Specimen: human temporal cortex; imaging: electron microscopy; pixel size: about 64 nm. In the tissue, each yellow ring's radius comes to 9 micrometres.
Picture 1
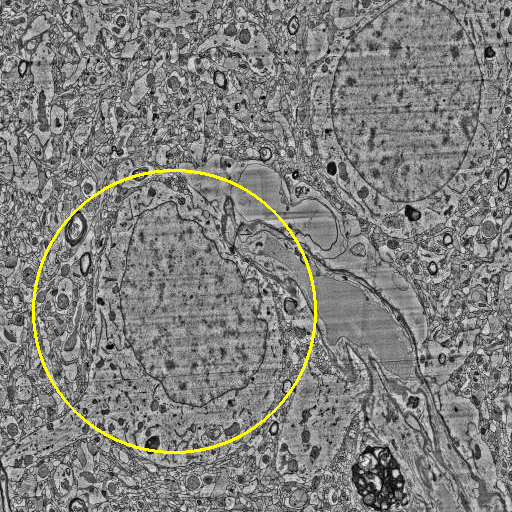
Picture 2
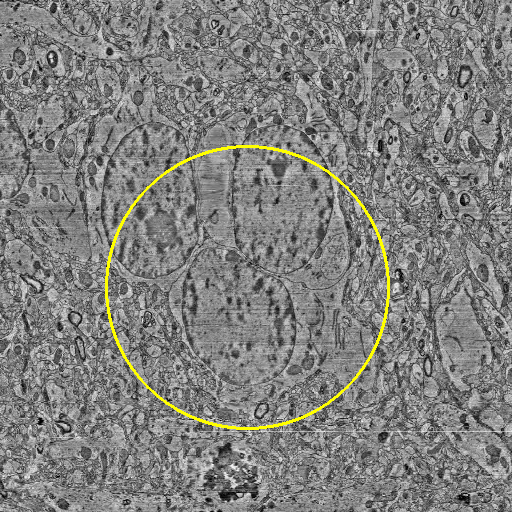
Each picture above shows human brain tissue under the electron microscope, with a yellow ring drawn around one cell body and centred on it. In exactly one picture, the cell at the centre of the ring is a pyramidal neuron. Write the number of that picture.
1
